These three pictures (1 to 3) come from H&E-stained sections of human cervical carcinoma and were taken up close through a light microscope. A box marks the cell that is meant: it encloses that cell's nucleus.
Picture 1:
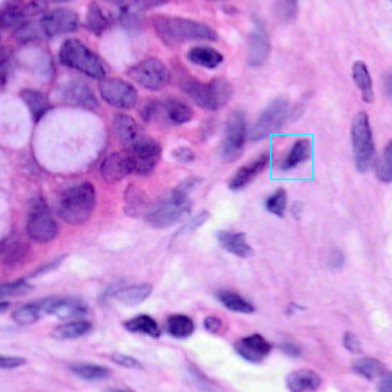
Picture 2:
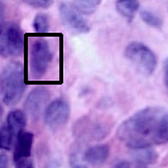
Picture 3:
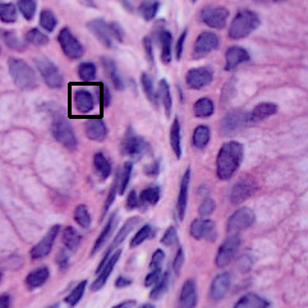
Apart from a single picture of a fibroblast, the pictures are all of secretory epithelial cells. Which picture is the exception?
1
